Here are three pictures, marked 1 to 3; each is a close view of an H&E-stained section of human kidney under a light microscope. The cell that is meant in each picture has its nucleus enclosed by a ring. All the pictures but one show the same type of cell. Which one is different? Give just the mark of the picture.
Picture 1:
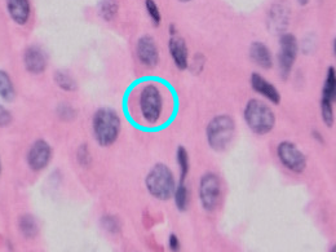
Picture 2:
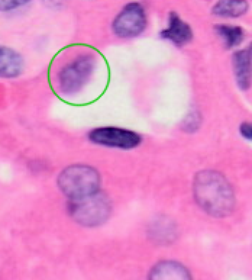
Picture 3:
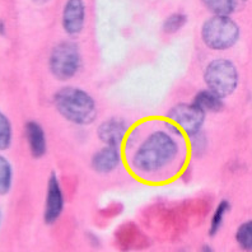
3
